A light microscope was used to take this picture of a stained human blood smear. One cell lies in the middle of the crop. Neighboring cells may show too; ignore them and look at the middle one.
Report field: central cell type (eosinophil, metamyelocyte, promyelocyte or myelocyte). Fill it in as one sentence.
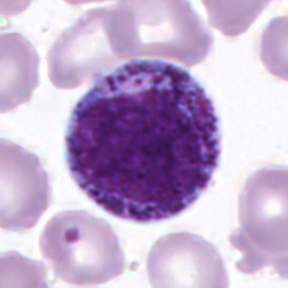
In the center of this field lies a promyelocyte.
